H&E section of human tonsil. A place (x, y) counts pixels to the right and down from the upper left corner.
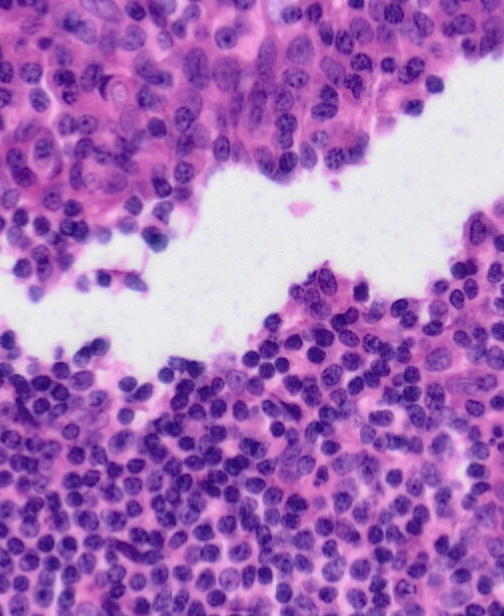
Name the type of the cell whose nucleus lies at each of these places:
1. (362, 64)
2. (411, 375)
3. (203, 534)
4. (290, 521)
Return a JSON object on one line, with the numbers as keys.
{"1": "plasma cell", "2": "small lymphocyte", "3": "small lymphocyte", "4": "small lymphocyte"}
